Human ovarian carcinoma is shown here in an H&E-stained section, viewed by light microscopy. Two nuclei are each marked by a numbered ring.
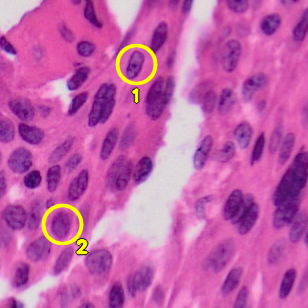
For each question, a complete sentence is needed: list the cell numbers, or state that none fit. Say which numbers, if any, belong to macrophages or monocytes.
Cell 1 is a macrophage or monocyte, and it is the only numbered cell that is.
